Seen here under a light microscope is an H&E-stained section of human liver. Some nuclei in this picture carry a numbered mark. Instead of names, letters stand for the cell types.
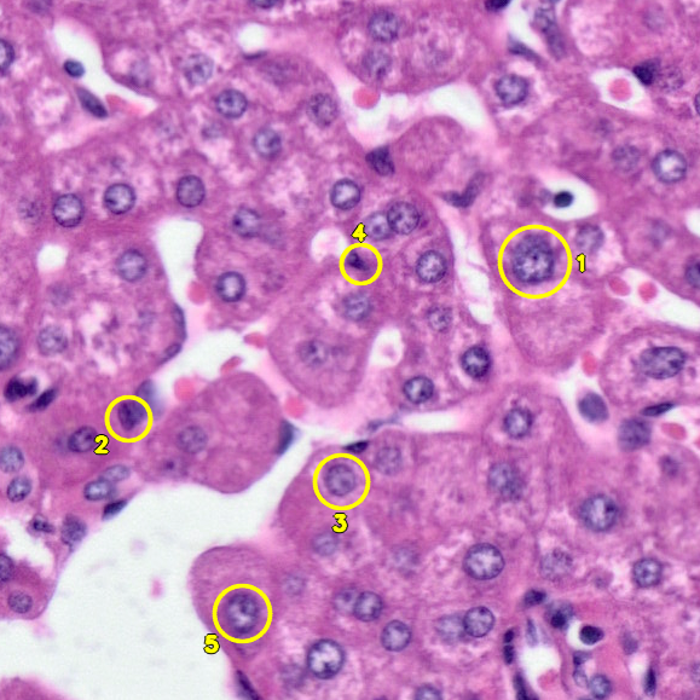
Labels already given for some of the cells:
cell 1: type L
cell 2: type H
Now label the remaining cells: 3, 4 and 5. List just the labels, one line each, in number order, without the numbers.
type L
type H
type L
